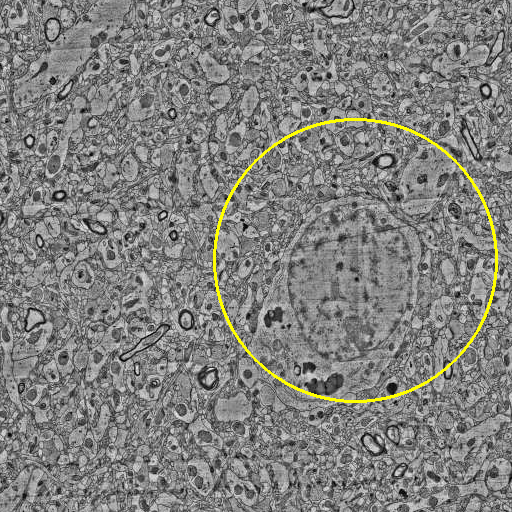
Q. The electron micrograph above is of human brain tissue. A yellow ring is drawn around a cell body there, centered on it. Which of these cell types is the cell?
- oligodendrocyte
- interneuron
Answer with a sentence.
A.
The cell under the ring's center is an interneuron.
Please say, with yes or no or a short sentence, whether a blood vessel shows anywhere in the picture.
No, no blood vessel can be seen.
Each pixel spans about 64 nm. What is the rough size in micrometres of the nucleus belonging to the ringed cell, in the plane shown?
The nucleus appears roughly 10 by 8 micrometres in this plane.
